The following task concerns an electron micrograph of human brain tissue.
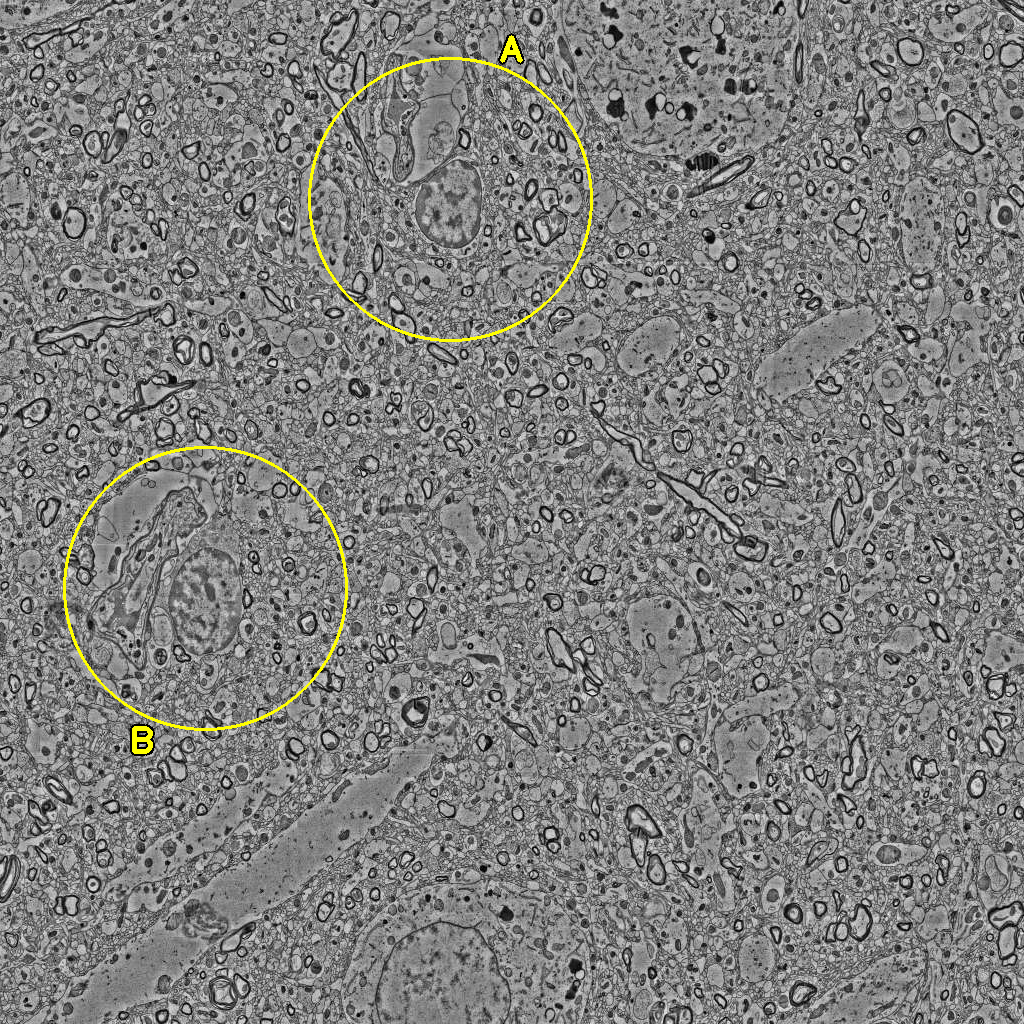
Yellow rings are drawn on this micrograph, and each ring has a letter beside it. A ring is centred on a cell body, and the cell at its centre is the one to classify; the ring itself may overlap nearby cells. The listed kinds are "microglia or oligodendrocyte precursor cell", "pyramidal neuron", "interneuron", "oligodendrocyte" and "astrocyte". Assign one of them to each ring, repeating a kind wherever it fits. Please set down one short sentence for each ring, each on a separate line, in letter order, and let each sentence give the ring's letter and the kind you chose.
The cell ringed as A is a microglial cell or oligodendrocyte precursor cell.
The cell ringed as B is an oligodendrocyte.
